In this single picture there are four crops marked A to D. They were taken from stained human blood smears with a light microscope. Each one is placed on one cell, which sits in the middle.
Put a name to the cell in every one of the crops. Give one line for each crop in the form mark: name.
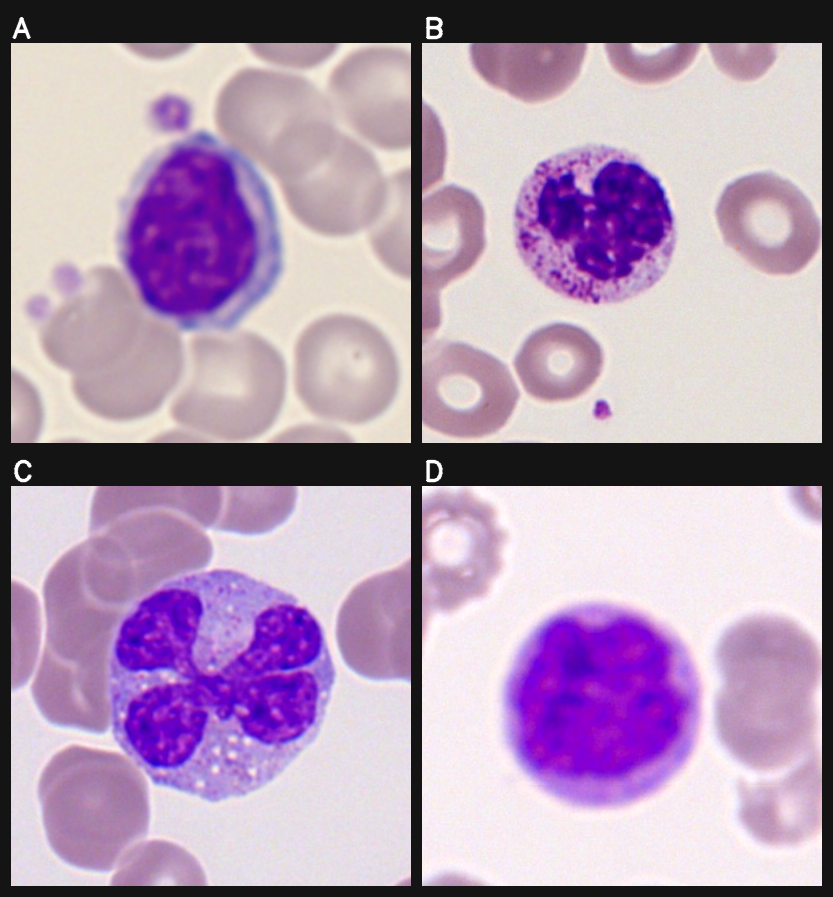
A: lymphocyte
B: segmented neutrophil
C: monocyte
D: monocyte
